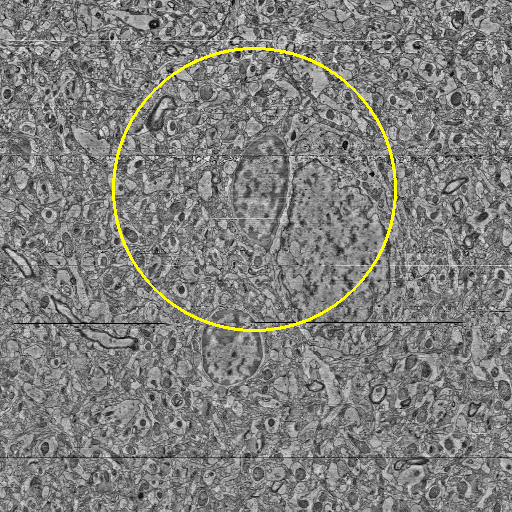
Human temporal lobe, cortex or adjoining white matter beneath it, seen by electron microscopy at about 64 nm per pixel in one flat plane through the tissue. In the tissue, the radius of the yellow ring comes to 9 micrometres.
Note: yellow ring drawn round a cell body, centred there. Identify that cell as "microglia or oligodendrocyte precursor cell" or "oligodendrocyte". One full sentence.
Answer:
The cell in the middle of the ring is an oligodendrocyte.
